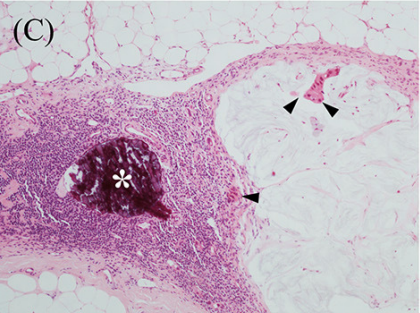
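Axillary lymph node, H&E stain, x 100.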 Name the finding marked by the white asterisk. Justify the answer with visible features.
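Microcalcification. A dense dark purple, cracked deposit lies within lymphoid tissue. It is much darker than the surrounding cells.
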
